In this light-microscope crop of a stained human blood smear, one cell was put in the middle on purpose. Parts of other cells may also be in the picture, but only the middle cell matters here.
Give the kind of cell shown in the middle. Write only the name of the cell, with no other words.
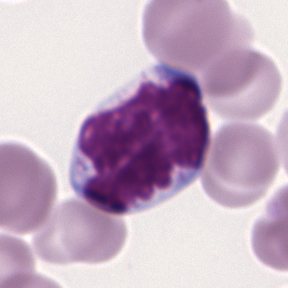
large granular lymphocyte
